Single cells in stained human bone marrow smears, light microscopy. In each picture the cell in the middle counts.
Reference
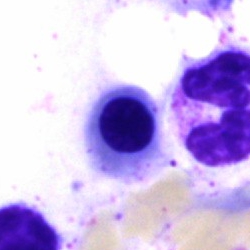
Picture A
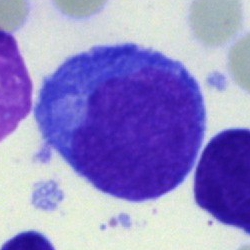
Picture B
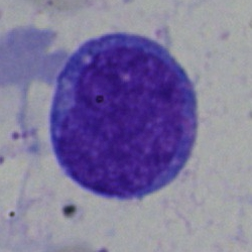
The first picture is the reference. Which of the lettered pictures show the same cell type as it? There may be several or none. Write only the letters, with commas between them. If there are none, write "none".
none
